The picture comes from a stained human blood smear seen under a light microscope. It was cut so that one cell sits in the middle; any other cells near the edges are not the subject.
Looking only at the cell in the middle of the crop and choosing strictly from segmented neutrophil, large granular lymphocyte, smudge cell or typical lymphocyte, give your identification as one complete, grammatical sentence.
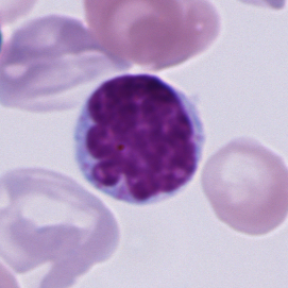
The cell of interest, in the center, is a typical lymphocyte.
